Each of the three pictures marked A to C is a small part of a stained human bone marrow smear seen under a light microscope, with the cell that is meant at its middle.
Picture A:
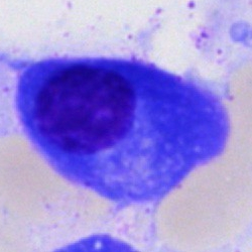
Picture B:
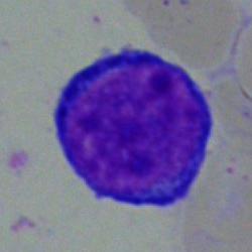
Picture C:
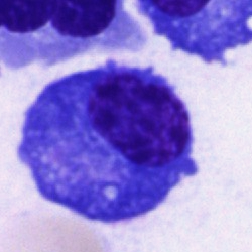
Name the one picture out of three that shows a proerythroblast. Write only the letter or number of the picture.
B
